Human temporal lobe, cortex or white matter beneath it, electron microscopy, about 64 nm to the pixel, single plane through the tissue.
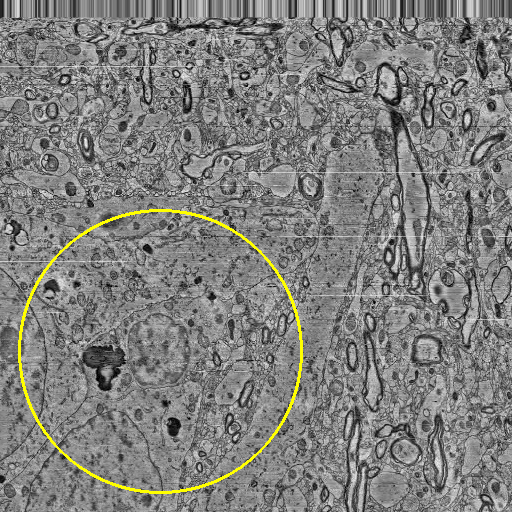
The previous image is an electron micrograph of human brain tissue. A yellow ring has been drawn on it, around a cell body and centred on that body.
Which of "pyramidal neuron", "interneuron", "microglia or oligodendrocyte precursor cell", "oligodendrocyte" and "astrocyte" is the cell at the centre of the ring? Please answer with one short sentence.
The cell body at the centre of the ring belongs to an oligodendrocyte.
